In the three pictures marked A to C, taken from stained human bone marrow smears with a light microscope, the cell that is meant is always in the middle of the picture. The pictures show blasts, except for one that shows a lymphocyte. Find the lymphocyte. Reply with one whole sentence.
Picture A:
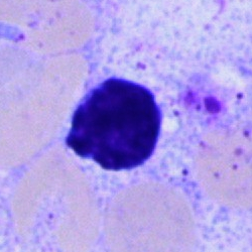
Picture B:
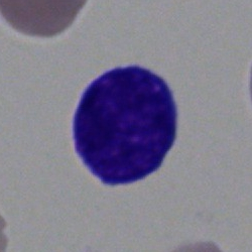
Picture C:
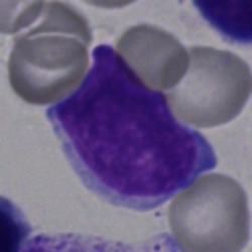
The cell in picture A is the lymphocyte.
